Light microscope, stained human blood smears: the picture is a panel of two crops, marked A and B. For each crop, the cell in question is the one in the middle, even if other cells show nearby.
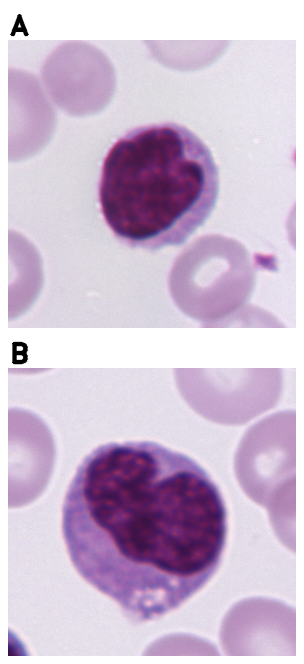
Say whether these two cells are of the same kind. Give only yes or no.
no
